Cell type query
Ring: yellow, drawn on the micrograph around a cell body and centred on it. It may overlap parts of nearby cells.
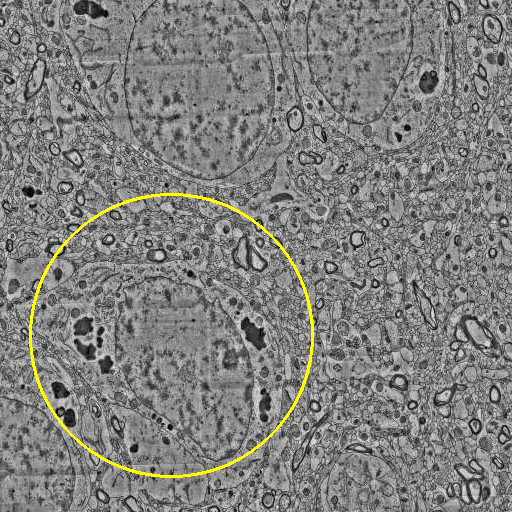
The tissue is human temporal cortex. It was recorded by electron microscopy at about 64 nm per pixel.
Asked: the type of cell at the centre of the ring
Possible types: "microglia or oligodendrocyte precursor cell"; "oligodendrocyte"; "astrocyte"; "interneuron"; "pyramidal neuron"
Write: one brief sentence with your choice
The ring marks an interneuron.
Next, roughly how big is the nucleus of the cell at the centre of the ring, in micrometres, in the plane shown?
In this plane, approximately 12 by 8 micrometers, and clearly longer than it is wide.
